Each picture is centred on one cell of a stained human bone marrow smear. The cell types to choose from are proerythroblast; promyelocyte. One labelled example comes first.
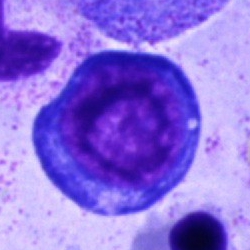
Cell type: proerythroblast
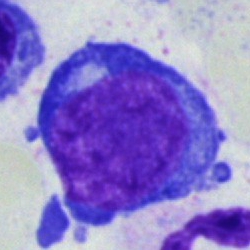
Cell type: proerythroblast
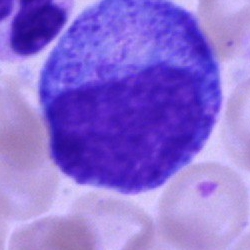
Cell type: promyelocyte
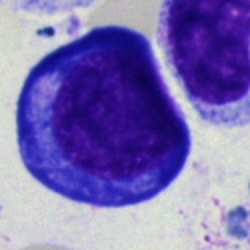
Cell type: proerythroblast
